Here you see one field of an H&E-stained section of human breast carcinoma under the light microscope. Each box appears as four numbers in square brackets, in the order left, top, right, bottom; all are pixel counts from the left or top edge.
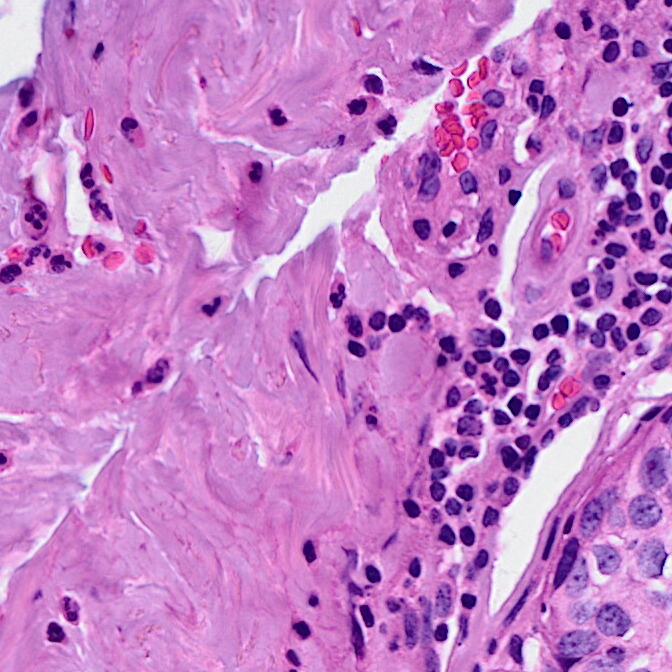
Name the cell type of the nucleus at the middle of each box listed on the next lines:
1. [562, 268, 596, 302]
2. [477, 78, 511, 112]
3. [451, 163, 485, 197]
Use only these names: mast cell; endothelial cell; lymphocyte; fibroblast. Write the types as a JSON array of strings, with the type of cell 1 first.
["lymphocyte", "endothelial cell", "endothelial cell"]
